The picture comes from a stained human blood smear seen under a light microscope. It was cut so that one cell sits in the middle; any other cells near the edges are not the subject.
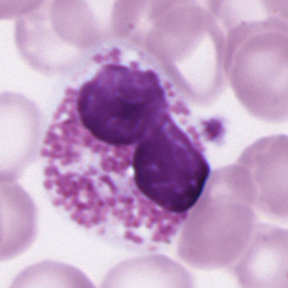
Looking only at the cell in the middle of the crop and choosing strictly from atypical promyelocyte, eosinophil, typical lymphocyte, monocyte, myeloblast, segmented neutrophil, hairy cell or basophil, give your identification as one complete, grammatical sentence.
In the middle of this smear crop is an eosinophil.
